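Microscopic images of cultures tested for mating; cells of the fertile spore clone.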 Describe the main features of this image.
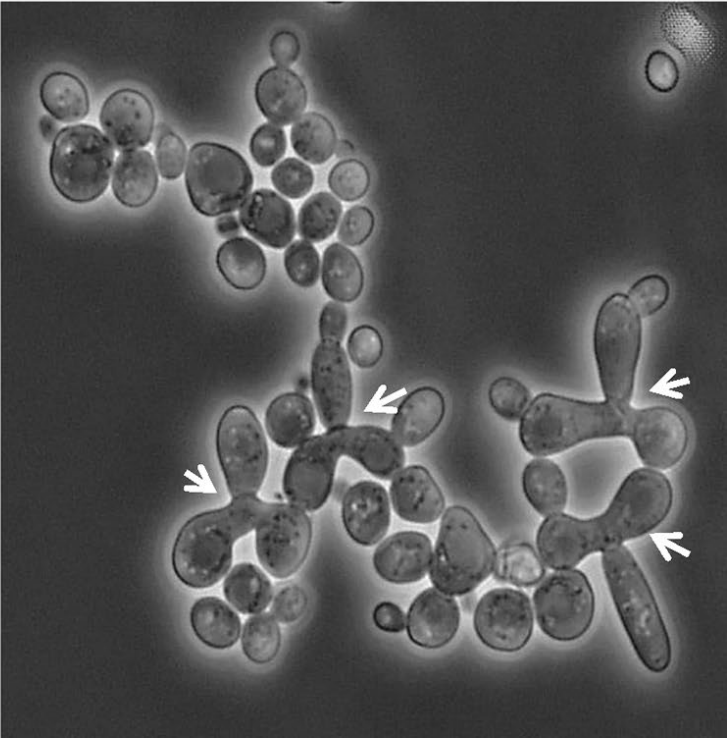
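Cluster of budding unicellular fungal cells under phase contrast, including germinating zygotes. Most cells are round to oval, have sharp dark walls and a bright halo, and contain granular cytoplasm with dark granules and paler vacuole-like areas. Small buds sit on several cells. Scattered among them are larger, irregular cell bodies. Each consists of two or three lobes joined through a neck, giving dumbbell or T-shaped outlines, and a bud grows from the lobed body. Some cells are elongated, rod-like and tubular. The cells crowd into loose chains and clumps.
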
